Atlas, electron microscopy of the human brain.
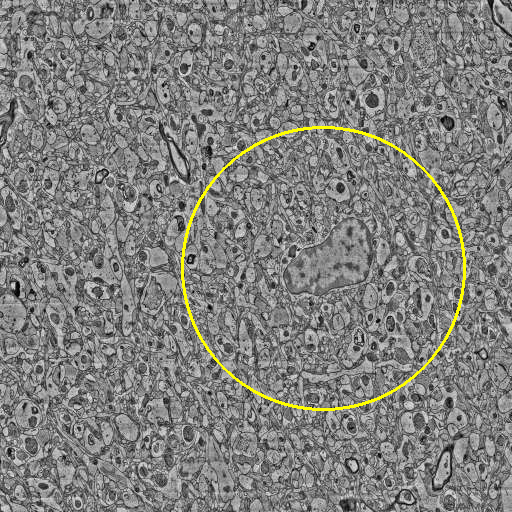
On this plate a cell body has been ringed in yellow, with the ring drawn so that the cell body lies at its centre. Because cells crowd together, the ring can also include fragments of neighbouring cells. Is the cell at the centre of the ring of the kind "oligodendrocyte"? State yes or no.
No, it is of another kind.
